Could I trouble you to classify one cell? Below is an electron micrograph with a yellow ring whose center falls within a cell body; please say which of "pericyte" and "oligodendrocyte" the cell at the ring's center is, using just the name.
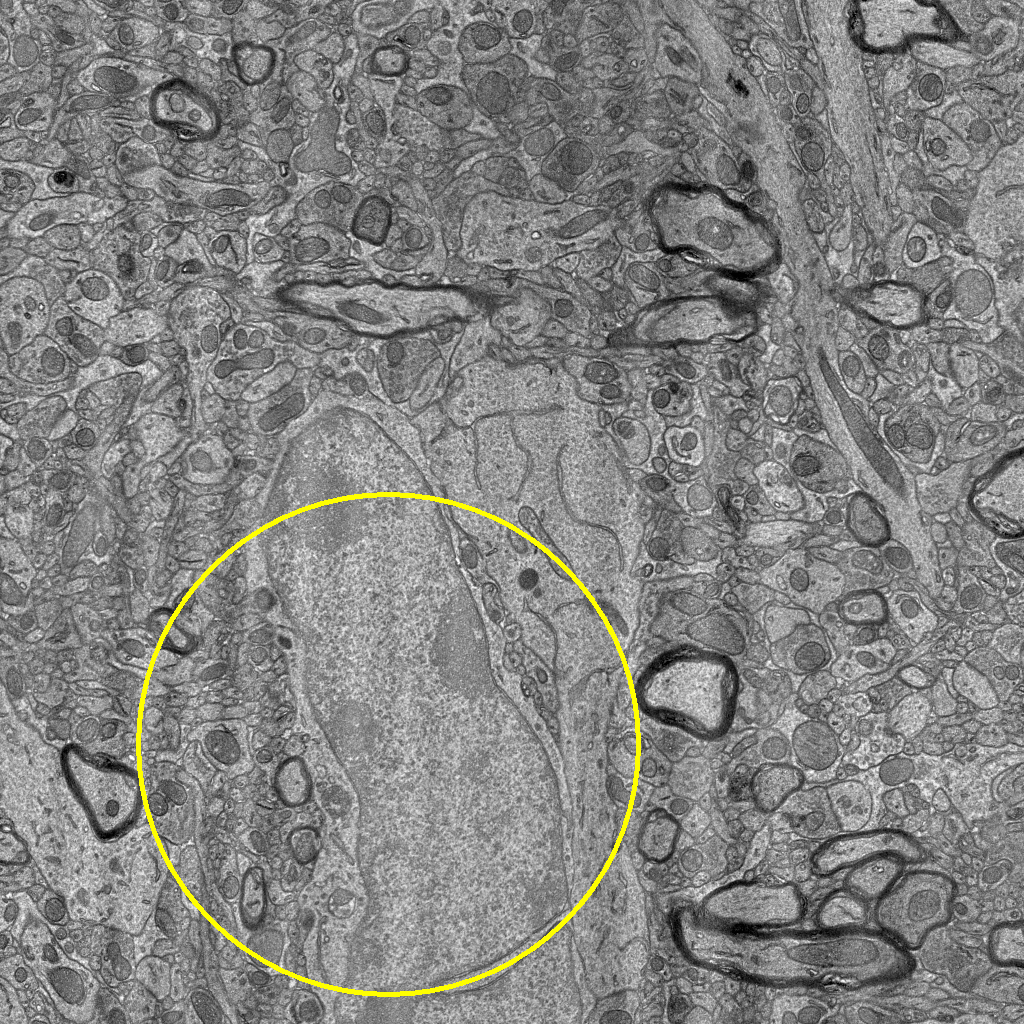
oligodendrocyte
